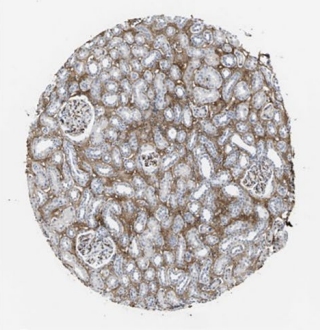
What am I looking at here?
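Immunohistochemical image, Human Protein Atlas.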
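A round tissue core shows closely packed tubules with several glomeruli scattered among them. Brown stain fills the narrow spaces between the tubules, outlining each one, while the tubular epithelium itself stays pale with blue nuclei. The glomeruli appear as round clusters of blue nuclei with little brown inside them.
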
